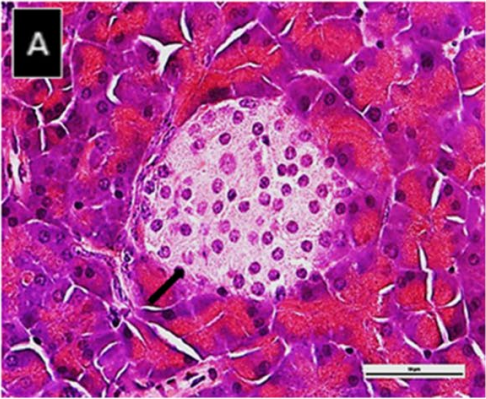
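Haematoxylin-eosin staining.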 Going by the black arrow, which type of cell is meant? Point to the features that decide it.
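Endocrine cells. The arrow points to a pale, rounded cell group set among red-staining glandular tissue. Cells in the pale group have small round nuclei and lightly stained cytoplasm.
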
